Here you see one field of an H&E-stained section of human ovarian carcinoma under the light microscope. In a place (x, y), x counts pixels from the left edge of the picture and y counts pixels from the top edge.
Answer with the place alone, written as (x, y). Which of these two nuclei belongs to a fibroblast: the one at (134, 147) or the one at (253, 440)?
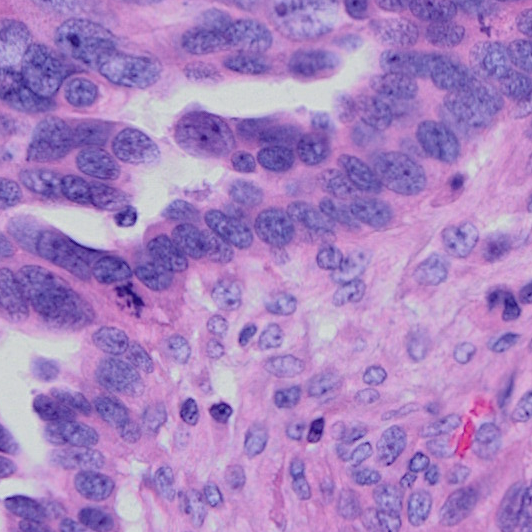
(253, 440)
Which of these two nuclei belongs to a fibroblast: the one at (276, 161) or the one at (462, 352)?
(462, 352)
